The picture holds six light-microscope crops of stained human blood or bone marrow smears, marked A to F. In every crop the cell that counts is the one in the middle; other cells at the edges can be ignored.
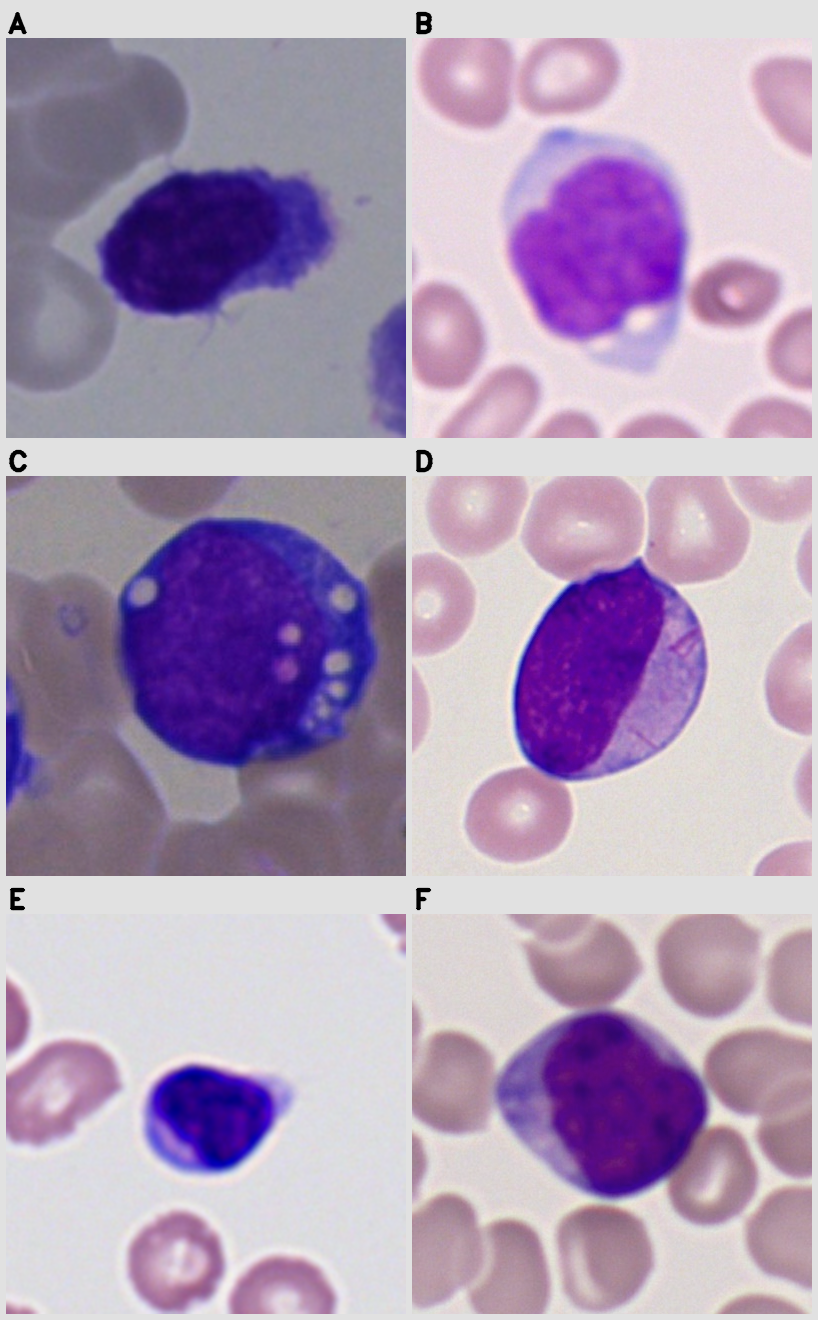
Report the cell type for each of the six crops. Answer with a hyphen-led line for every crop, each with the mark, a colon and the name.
- A: lymphocyte
- B: monocyte
- C: blast
- D: blast
- E: lymphocyte
- F: blast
